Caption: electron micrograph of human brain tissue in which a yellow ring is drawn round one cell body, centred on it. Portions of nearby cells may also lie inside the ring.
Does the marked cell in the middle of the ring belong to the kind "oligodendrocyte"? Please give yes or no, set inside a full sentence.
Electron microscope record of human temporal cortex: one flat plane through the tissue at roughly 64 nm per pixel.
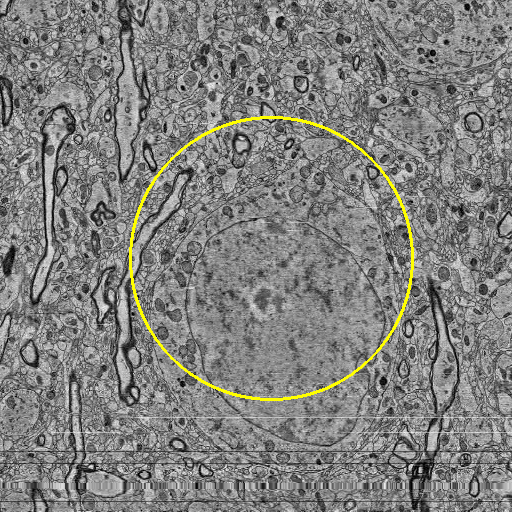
No, the marked cell that the ring is centred on in the picture is of another kind.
